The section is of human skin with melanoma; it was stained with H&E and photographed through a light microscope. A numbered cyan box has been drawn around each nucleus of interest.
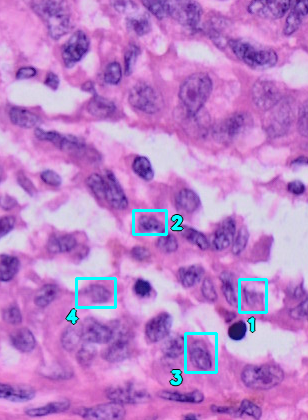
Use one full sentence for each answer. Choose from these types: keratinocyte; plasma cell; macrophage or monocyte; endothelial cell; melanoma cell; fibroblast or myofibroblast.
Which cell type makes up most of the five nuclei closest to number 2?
Melanoma cells account for more than half of the five nuclei nearest to number 2.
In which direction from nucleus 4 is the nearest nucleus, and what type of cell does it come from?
Lying below nucleus 4, the nearest nucleus is that of a melanoma cell.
